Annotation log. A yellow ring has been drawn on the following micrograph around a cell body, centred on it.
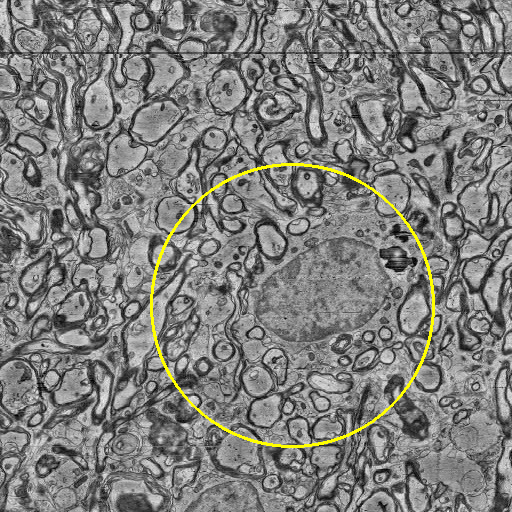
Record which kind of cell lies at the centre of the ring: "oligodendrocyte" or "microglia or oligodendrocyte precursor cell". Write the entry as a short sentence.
The cell the ring is centred on is an oligodendrocyte.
